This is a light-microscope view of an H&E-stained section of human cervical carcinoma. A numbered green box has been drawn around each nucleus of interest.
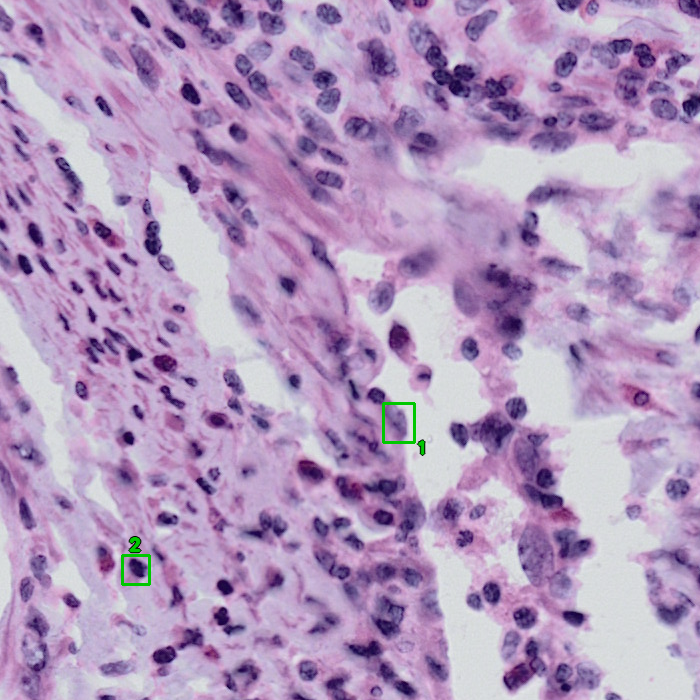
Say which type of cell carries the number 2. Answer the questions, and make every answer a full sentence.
Of the numbered cells, the one labelled 2 is a lymphocyte.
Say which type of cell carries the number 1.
The expected answer is that cell 1 is an endothelial cell.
